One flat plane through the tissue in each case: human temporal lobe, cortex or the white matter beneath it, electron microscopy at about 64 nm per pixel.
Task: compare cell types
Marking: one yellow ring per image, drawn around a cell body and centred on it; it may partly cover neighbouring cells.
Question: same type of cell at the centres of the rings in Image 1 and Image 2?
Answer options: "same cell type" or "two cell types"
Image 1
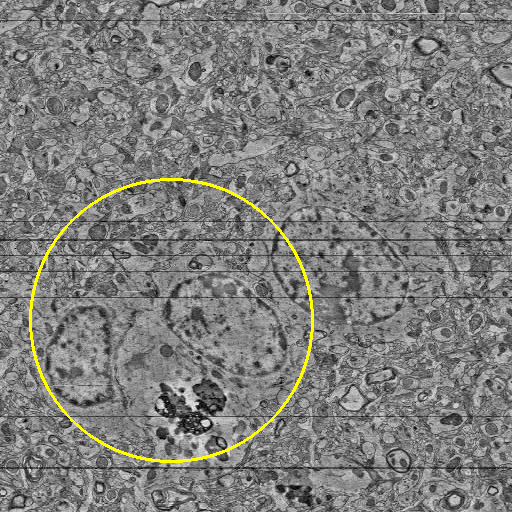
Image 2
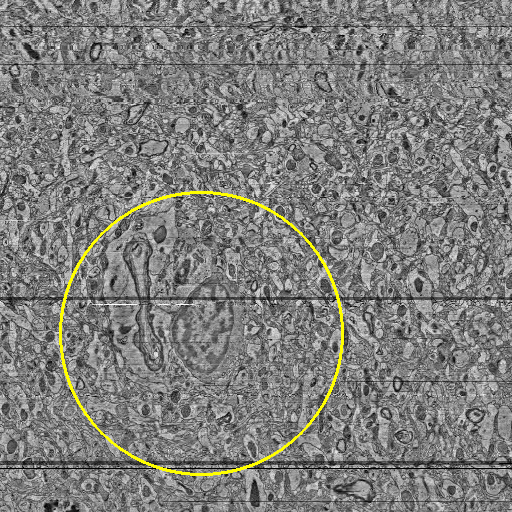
two cell types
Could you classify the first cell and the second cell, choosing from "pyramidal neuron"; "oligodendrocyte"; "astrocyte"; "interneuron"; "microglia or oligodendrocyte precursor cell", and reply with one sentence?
The second cell is an oligodendrocyte, while the first is an astrocyte.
